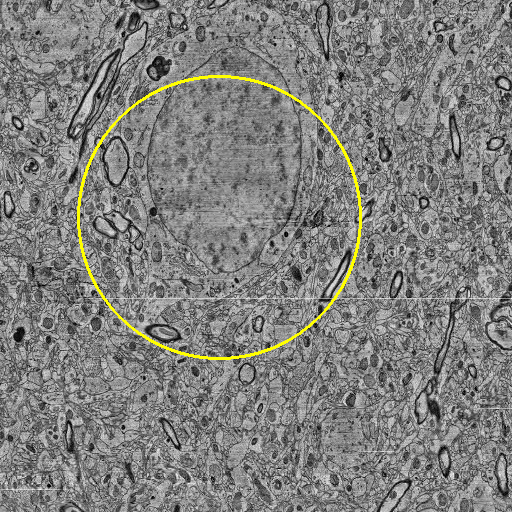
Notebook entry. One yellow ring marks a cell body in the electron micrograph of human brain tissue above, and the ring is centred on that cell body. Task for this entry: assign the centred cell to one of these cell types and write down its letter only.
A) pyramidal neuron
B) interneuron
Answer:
A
